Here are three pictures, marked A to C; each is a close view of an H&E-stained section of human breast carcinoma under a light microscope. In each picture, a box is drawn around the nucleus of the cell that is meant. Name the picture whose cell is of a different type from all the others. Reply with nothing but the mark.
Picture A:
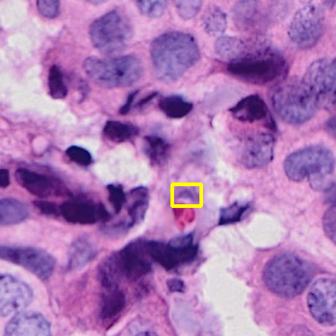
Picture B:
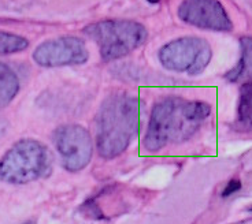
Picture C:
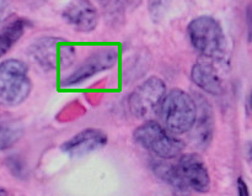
B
